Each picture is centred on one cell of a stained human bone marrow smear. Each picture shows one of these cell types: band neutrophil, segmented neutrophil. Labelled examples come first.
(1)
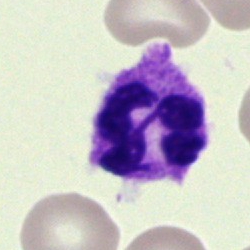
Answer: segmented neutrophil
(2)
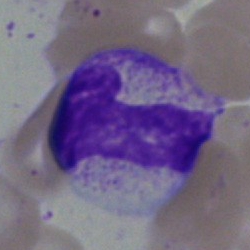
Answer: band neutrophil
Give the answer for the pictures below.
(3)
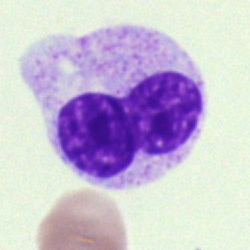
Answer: band neutrophil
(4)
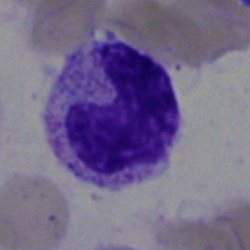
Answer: band neutrophil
